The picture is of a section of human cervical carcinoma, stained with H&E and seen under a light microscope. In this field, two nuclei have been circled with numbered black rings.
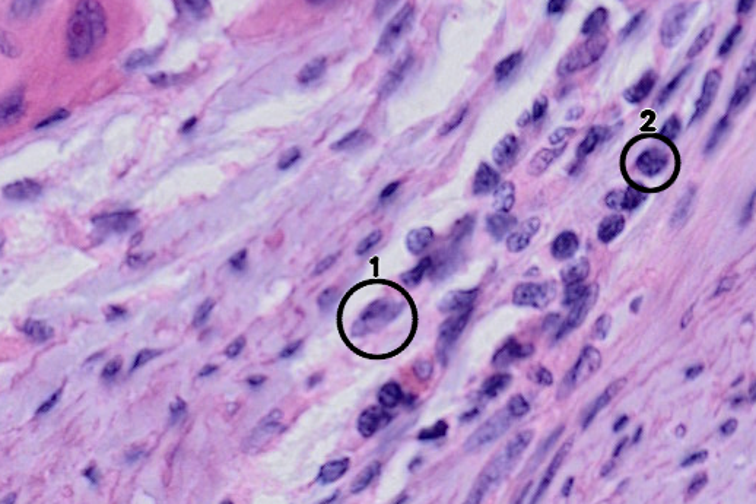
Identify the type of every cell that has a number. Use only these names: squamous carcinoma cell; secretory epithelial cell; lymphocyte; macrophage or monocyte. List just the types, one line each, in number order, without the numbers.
macrophage or monocyte
lymphocyte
